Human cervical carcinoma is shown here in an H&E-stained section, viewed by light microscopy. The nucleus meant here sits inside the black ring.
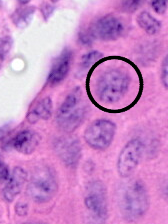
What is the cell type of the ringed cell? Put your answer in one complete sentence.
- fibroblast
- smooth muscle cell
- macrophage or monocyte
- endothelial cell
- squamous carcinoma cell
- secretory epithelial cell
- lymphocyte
It is a squamous carcinoma cell that the ringed cell represents.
